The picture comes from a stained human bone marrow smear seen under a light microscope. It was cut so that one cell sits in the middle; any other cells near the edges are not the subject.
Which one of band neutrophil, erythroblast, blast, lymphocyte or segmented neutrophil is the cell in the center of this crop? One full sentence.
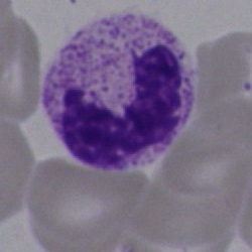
The cell under consideration, at the middle of the crop, is a band neutrophil.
